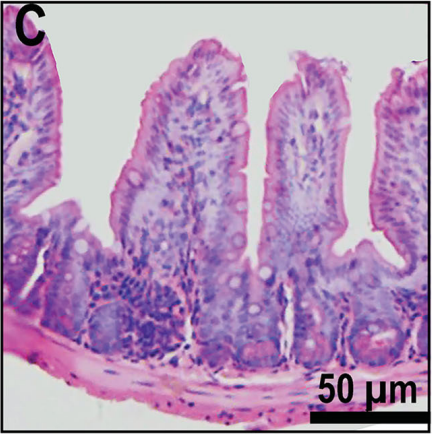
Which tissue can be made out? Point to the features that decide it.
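Finger-like projections covered by a columnar epithelium with pale goblet cells. Glands at the base of the mucosa above a pink muscle layer. That points to this answer: intestine.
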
